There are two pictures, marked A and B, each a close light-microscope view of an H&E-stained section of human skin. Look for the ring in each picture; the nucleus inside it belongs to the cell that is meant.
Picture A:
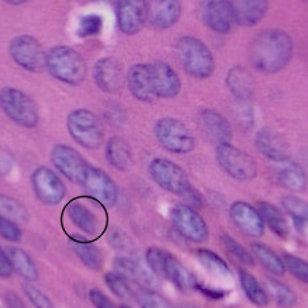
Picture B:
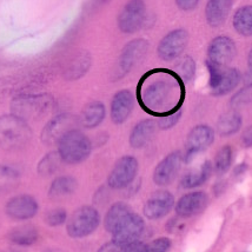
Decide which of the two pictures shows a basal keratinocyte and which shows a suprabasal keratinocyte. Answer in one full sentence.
Picture B shows a suprabasal keratinocyte, while picture A shows a basal keratinocyte.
